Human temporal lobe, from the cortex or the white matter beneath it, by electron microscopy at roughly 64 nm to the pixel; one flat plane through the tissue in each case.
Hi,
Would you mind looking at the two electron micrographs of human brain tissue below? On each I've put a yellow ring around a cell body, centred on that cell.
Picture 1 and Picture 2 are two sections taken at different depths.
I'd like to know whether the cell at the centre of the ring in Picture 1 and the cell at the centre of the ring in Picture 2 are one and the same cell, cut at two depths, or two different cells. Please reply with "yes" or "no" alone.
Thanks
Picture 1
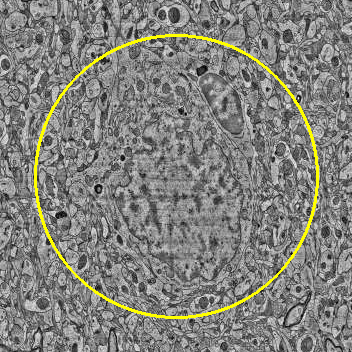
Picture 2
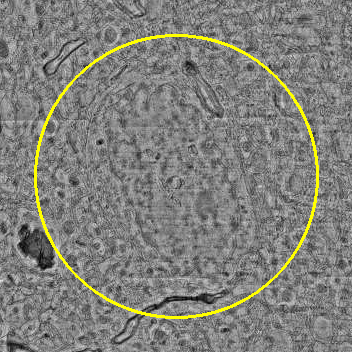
no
